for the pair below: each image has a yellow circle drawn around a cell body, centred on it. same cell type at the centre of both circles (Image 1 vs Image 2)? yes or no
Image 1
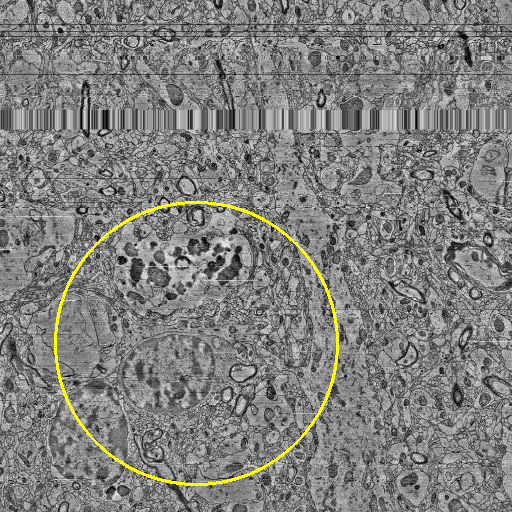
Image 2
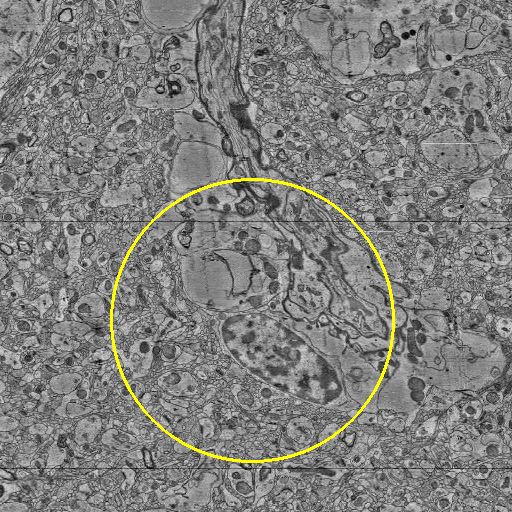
no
